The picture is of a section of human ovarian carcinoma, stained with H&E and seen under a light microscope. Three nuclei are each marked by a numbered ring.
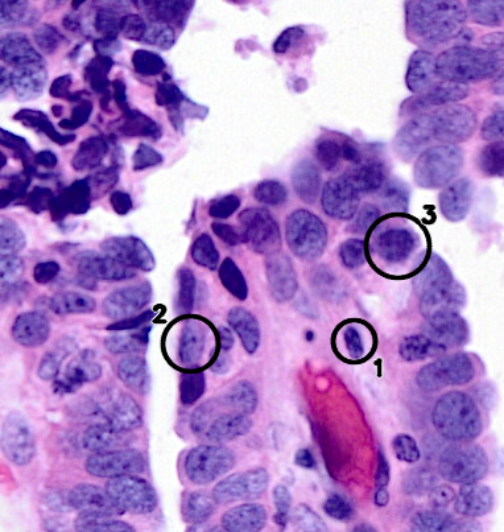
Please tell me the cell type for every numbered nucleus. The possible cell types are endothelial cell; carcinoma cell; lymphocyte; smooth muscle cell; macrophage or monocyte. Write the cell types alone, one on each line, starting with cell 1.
lymphocyte
carcinoma cell
carcinoma cell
